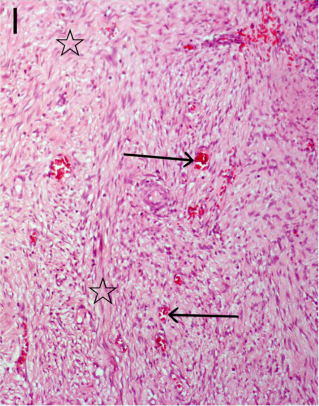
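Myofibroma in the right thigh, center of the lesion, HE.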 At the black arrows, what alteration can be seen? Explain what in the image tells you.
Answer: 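Many small vessels packed with red blood cells are scattered through the field. The vessels are small and numerous. On this evidence: vascular proliferation.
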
